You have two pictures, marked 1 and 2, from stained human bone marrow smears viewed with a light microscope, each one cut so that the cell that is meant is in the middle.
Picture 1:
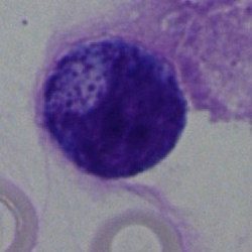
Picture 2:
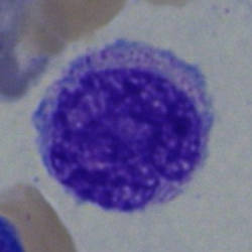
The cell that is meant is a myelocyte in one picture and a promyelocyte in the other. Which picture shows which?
1: promyelocyte
2: myelocyte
